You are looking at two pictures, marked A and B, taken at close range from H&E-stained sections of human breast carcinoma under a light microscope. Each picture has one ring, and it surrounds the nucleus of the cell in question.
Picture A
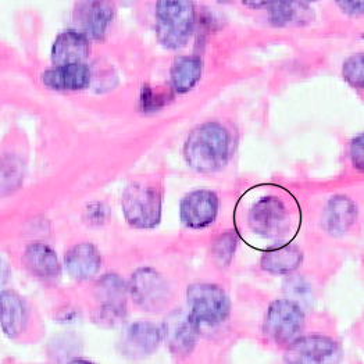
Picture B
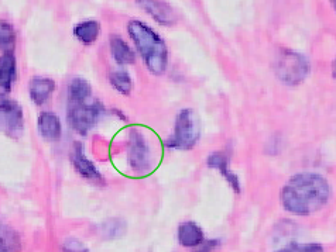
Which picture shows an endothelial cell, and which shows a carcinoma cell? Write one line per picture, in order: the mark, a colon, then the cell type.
A: carcinoma cell
B: endothelial cell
